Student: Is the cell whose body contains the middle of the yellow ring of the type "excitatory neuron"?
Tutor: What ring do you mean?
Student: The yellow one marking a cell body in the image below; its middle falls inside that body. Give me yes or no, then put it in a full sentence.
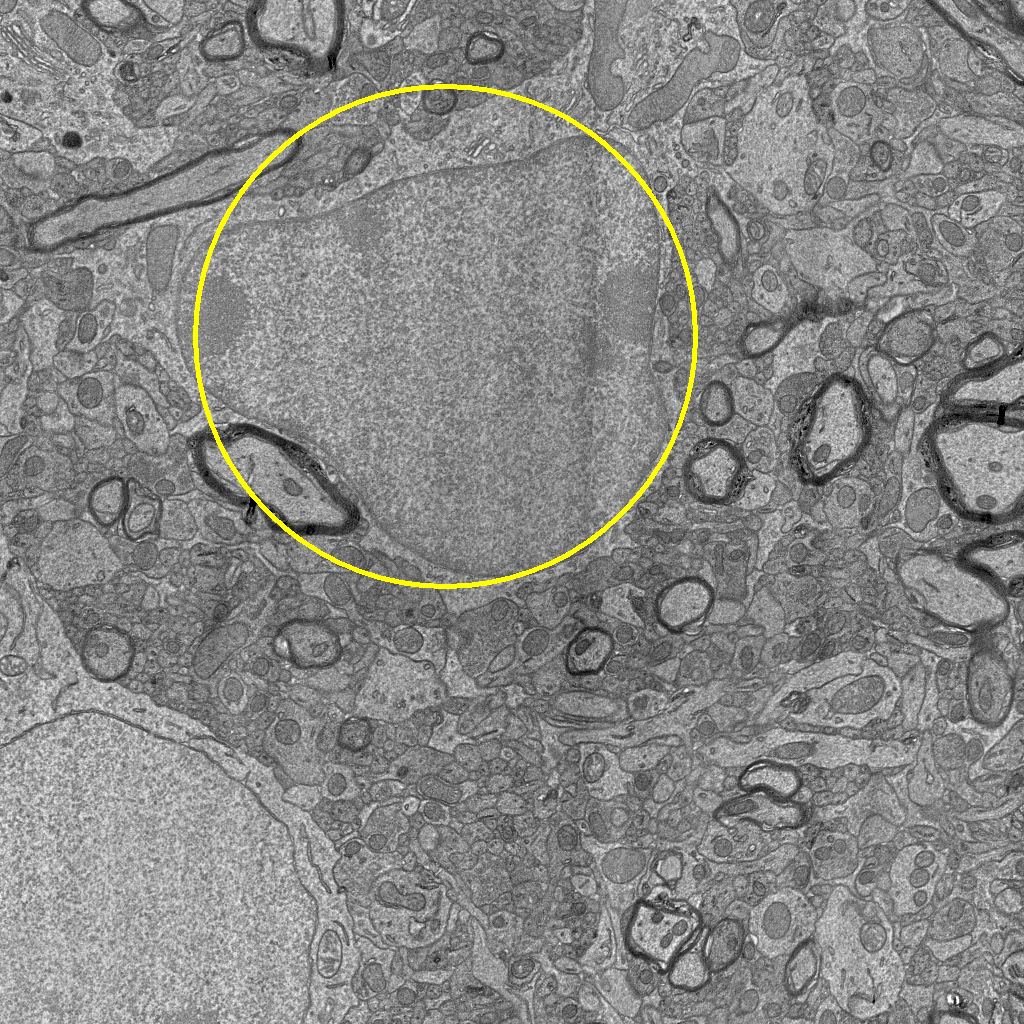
No, the cell whose body holds the middle of the yellow ring in the image has a different type.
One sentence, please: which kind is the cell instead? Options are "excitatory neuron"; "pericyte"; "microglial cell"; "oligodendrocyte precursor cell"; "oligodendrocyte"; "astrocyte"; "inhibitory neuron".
Instead, what sits at the centre of the ring is an astrocyte.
